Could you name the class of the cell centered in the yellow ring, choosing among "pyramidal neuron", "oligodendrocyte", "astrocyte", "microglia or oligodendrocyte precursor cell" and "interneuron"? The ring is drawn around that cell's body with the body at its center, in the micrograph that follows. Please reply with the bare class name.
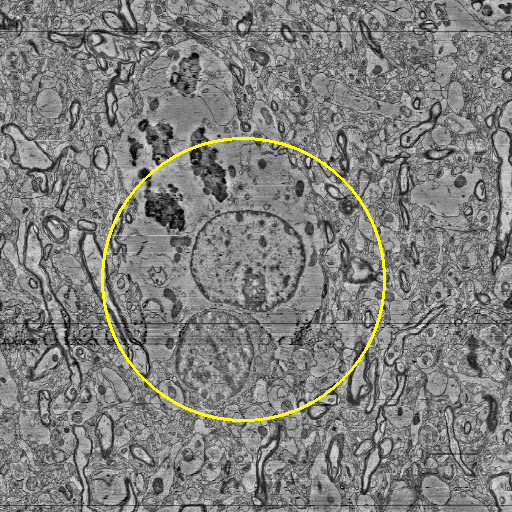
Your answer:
astrocyte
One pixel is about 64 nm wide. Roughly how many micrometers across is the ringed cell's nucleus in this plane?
Roughly 7 micrometres across for the nucleus, in this plane.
